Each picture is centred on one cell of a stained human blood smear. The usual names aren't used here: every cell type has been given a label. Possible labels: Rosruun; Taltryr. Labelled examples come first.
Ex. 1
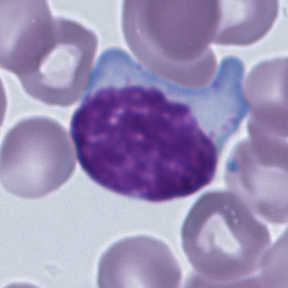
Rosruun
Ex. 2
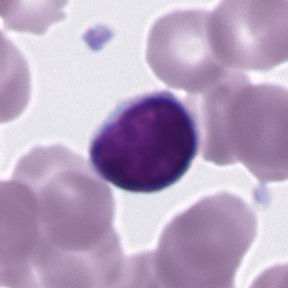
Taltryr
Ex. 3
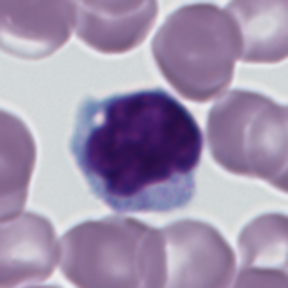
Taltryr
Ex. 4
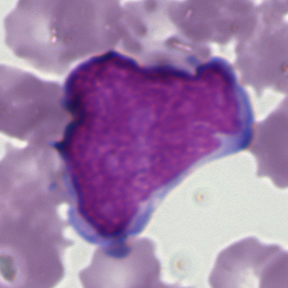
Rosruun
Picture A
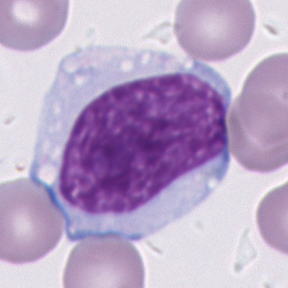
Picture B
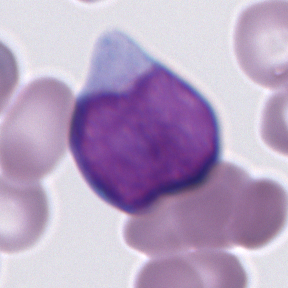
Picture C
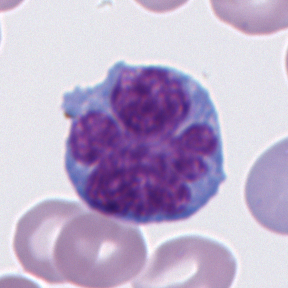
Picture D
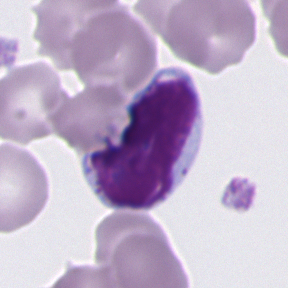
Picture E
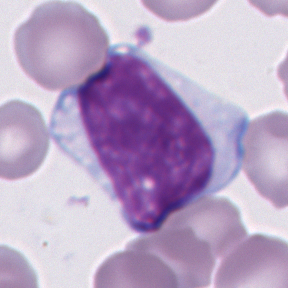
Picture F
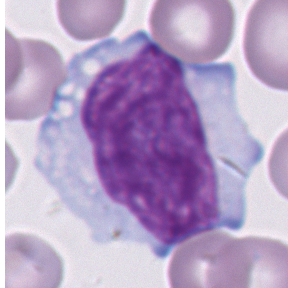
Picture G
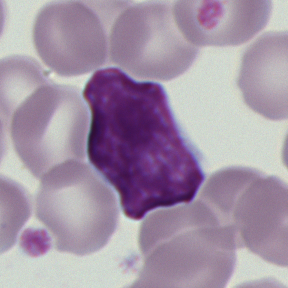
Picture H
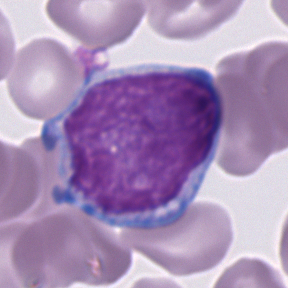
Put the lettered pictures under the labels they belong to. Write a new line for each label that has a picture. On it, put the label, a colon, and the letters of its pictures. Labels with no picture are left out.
Rosruun: A, B, C, E, F, H
Taltryr: D, G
